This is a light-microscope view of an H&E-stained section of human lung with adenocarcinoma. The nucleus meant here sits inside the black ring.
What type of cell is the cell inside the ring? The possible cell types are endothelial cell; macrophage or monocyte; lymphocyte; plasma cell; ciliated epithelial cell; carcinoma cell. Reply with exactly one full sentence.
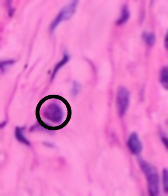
By cell type, the cell inside the ring is a plasma cell.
